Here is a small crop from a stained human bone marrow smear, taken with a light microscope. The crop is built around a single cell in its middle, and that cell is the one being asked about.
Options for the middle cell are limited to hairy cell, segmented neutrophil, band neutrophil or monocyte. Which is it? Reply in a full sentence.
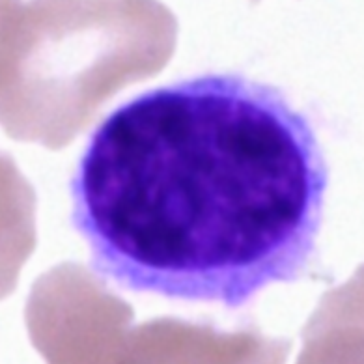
This crop has a hairy cell at its centre.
